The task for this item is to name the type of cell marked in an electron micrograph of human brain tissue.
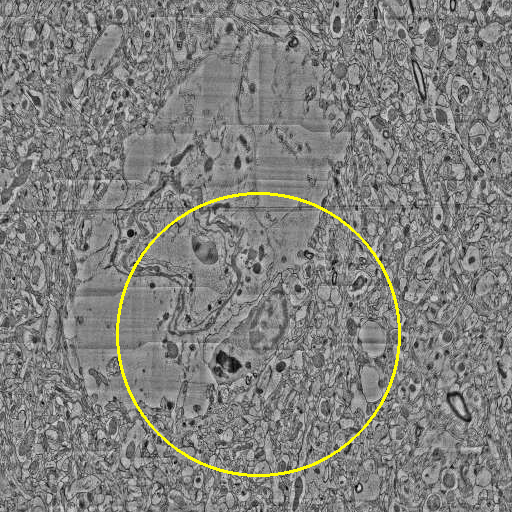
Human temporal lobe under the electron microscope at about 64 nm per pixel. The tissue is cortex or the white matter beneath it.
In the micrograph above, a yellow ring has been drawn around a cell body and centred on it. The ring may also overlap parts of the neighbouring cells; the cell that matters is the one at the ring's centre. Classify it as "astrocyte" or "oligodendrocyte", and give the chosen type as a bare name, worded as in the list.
oligodendrocyte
